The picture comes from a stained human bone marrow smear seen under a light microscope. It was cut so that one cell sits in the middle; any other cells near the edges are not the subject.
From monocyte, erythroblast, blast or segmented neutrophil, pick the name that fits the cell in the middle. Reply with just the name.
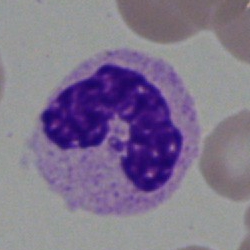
segmented neutrophil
